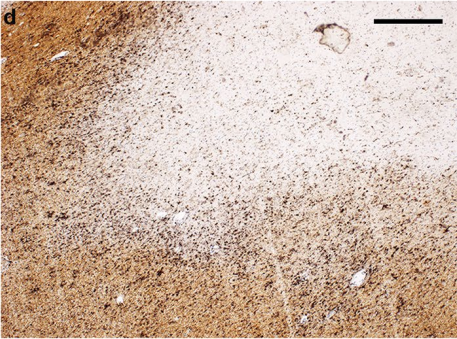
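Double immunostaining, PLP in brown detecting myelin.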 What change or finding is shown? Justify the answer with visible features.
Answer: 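Mixed active/inactive (chronic active) lesion. A large pale area without brown stain in the centre. A band of dense dark cells along the edge of the pale area. Brown-stained tissue surrounds the pale area.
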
